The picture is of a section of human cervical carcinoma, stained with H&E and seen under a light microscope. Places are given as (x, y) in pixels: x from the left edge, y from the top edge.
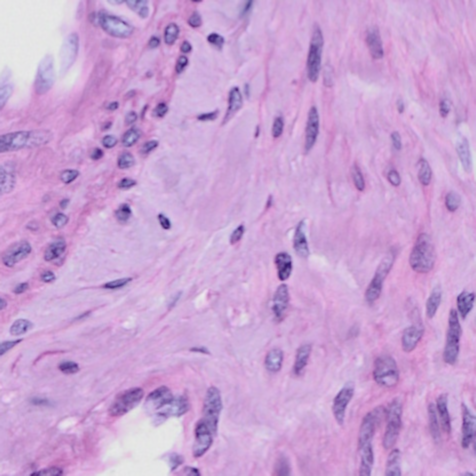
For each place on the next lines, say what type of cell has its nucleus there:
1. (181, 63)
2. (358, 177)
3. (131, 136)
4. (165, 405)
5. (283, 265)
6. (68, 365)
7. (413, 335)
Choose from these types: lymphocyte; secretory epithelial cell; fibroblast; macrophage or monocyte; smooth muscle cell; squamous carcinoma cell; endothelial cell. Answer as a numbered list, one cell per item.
1. smooth muscle cell
2. smooth muscle cell
3. smooth muscle cell
4. endothelial cell
5. lymphocyte
6. fibroblast
7. smooth muscle cell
